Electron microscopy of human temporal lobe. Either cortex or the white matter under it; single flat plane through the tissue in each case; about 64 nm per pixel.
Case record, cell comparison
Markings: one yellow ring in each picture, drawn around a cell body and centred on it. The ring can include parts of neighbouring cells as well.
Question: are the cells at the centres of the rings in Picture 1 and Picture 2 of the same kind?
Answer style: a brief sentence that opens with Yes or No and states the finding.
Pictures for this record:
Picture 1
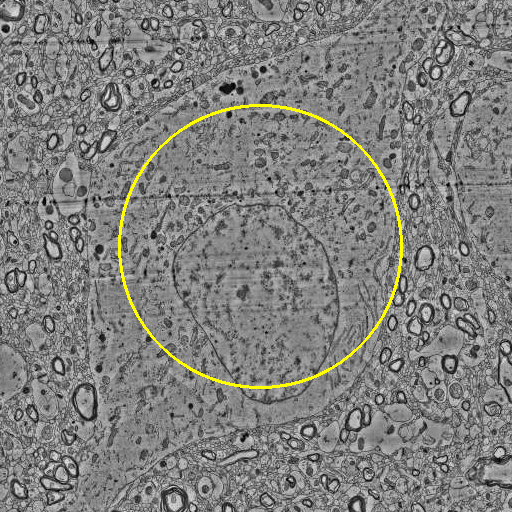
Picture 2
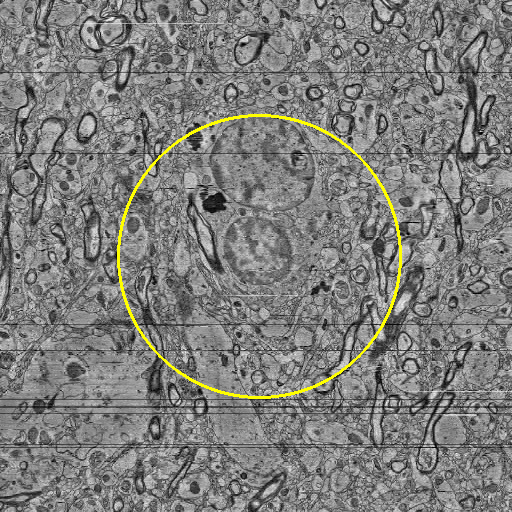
No, the cells in Picture 1 and Picture 2 are of two kinds.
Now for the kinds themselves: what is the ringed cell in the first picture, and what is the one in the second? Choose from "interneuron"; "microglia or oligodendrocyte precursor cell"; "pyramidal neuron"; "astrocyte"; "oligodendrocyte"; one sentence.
Here the first cell is a pyramidal neuron and the second cell is an oligodendrocyte.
